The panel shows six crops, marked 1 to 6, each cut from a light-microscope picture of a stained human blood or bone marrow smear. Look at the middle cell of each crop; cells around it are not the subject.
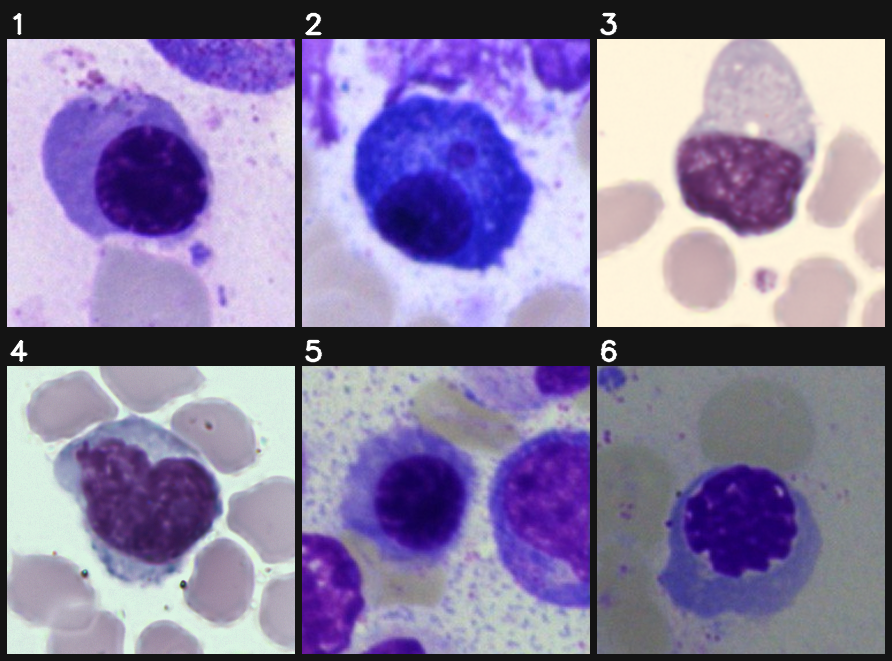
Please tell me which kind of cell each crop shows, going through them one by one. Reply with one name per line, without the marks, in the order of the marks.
erythroblast
plasma cell
plasma cell
plasma cell
erythroblast
erythroblast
